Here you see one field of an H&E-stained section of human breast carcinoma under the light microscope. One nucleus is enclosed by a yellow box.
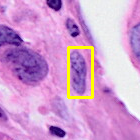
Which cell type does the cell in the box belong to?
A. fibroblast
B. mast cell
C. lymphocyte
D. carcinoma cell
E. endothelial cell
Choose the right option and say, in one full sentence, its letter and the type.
Best answer: option E, with the cell in the box being an endothelial cell.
